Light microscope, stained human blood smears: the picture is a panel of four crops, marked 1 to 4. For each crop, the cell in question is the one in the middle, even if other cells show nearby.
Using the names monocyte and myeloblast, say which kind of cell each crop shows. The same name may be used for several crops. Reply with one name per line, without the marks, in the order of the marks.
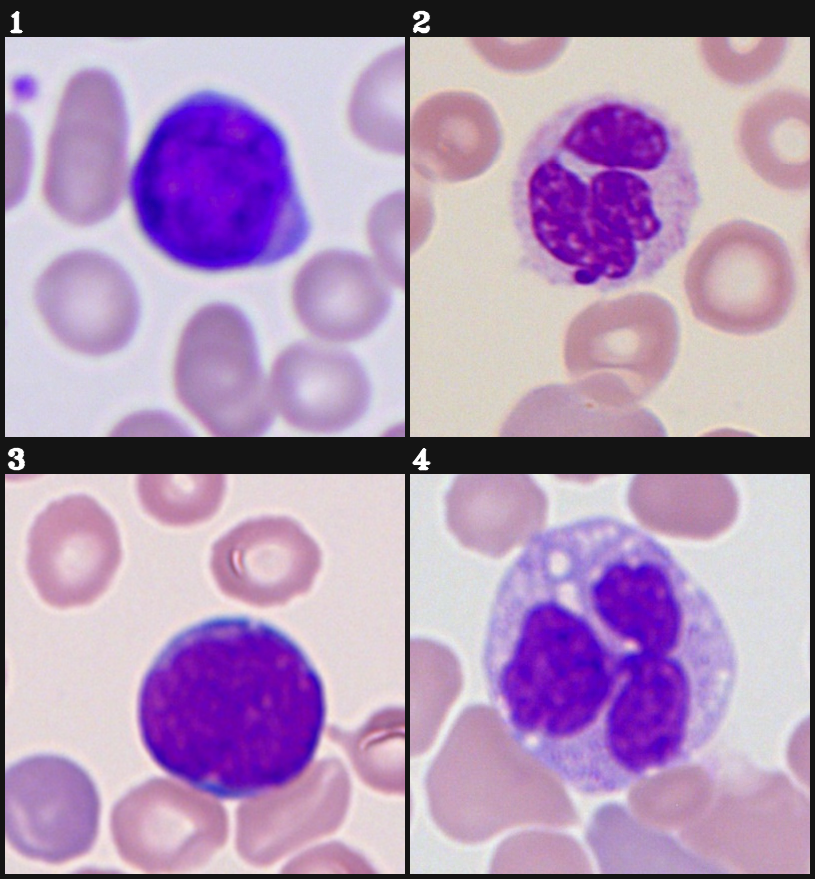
myeloblast
monocyte
myeloblast
monocyte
